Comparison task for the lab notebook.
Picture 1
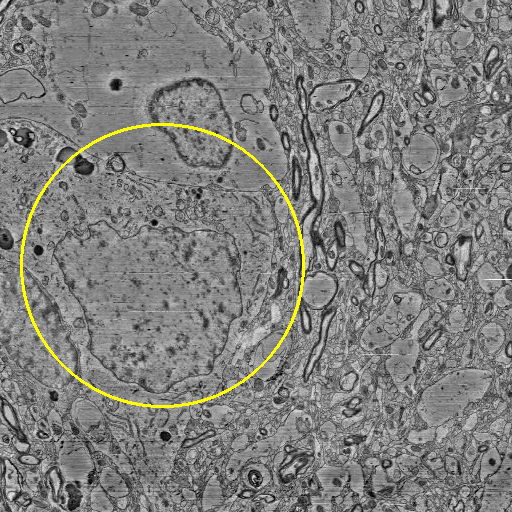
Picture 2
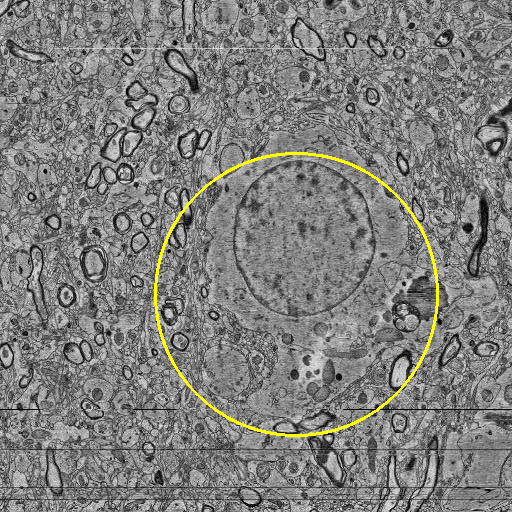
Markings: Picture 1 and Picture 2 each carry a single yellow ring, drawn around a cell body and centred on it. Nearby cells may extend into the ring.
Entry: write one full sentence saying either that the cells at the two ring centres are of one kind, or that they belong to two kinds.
The cells sitting at the ring centres in Picture 1 and Picture 2 belong to two kinds.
